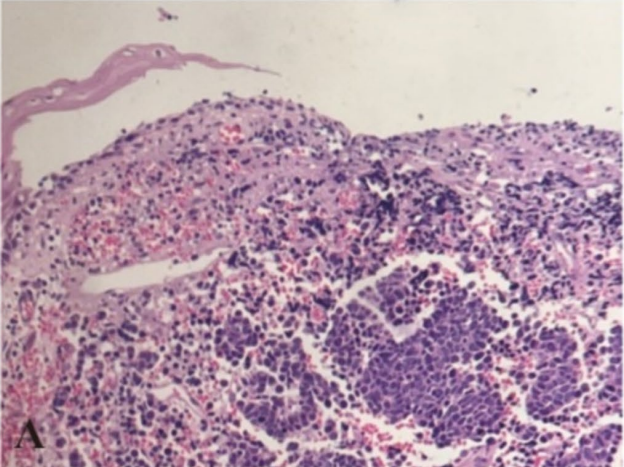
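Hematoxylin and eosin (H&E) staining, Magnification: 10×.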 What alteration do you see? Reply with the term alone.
hyperchromatic nuclei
